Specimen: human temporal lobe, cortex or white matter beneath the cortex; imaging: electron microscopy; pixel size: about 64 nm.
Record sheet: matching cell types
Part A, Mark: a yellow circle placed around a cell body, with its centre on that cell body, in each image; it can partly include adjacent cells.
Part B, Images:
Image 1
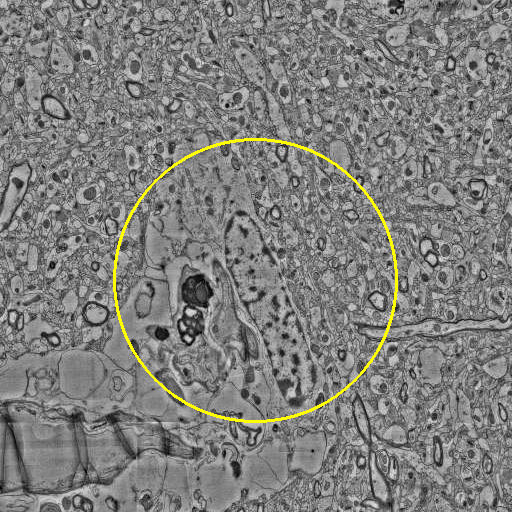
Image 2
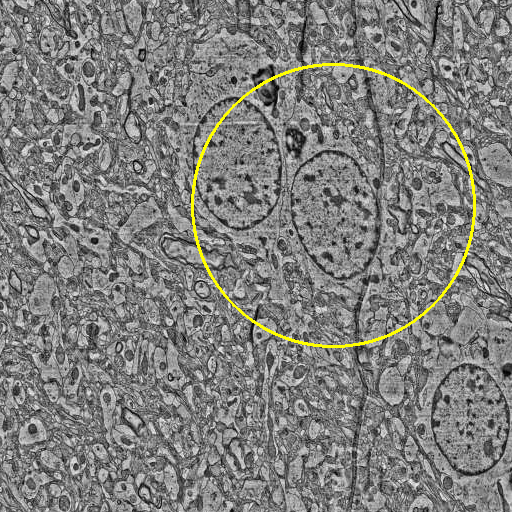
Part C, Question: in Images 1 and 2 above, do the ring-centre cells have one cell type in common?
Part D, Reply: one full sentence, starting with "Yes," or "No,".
No, the ring-centre cells of Image 1 and Image 2 are each of a separate cell type.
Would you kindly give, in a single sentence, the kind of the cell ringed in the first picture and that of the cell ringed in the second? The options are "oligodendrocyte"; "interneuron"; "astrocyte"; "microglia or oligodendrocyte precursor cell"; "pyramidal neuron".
The second cell is an astrocyte, and the first cell is a microglial cell or oligodendrocyte precursor cell.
